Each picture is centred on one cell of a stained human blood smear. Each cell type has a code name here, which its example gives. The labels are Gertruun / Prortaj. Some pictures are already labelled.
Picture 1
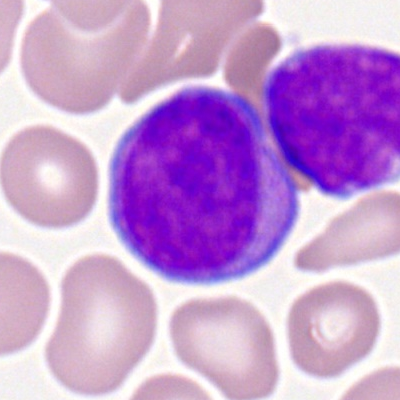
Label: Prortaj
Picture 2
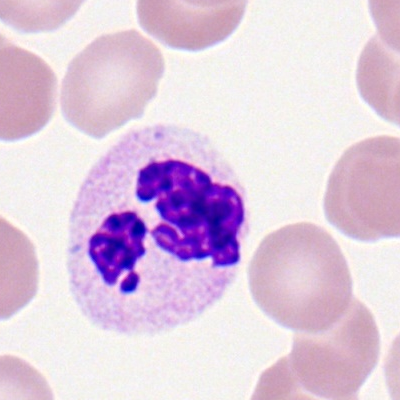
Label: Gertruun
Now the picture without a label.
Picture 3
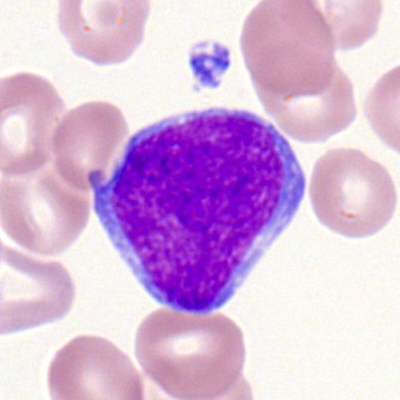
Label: Prortaj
